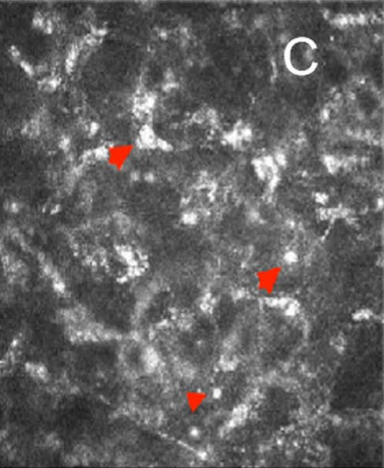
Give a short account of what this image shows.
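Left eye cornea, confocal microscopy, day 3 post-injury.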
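Irregular bright cell bodies and patches are scattered over a dark grey background, some with short processes. Between them lie small, round, very bright particles, several of which are marked by red arrowheads. The arrangement is patchy and disordered, with no regular layering of cells.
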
